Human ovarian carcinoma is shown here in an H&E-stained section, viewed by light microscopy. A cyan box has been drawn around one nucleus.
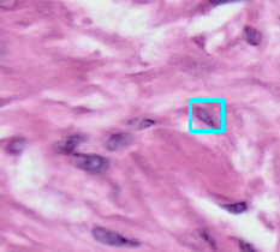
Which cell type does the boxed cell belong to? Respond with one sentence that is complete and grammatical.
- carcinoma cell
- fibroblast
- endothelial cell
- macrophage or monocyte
With respect to cell type, the boxed cell is a fibroblast.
